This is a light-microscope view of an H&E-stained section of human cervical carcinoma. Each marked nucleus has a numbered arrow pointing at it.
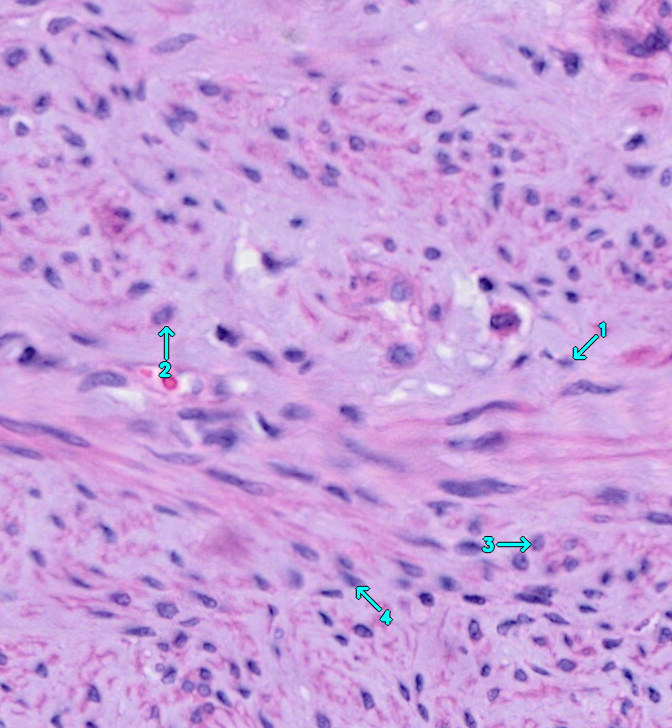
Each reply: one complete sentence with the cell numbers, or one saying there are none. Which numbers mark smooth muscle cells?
Identification: the cells with numbers 2, 3 and 4 are smooth muscle cells.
